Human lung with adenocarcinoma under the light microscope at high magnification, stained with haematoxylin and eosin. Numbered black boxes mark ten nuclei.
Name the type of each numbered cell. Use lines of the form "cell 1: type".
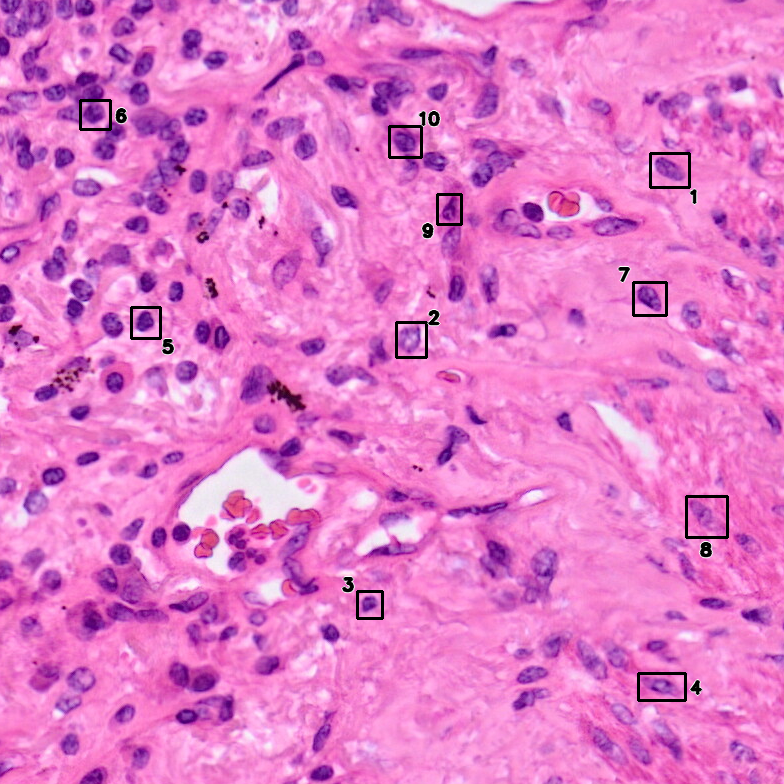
cell 1: mast cell
cell 2: fibroblast
cell 3: lymphocyte
cell 4: smooth muscle cell or pericyte
cell 5: lymphocyte
cell 6: lymphocyte
cell 7: mast cell
cell 8: smooth muscle cell or pericyte
cell 9: plasma cell
cell 10: plasma cell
